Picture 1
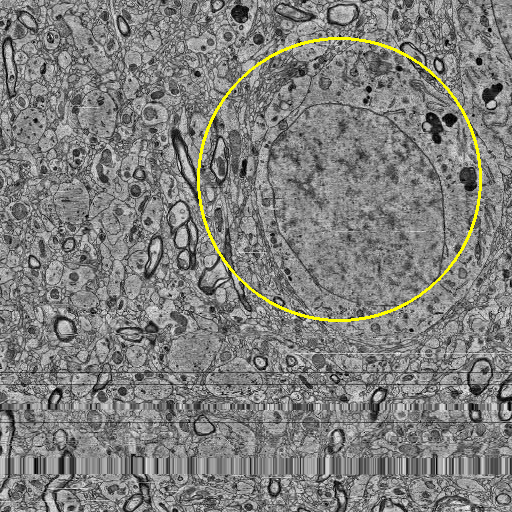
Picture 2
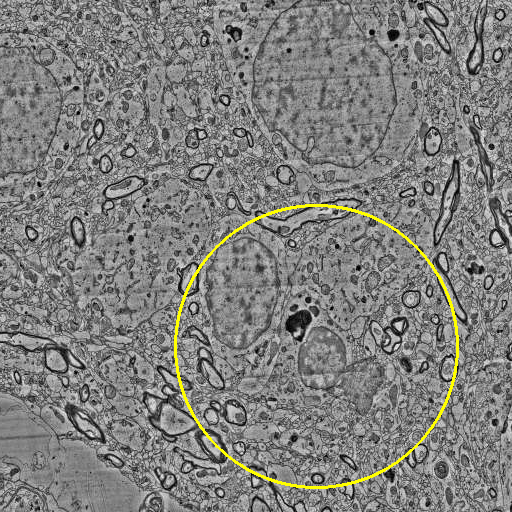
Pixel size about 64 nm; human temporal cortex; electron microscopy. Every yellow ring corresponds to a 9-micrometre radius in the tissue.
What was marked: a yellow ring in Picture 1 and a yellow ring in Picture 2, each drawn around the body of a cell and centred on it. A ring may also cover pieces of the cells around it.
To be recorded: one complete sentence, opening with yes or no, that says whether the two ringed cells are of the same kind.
No, the two ringed cells are of two kinds.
